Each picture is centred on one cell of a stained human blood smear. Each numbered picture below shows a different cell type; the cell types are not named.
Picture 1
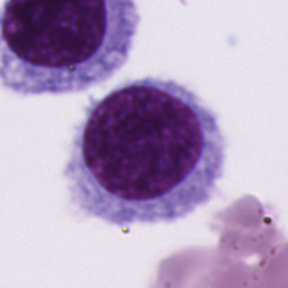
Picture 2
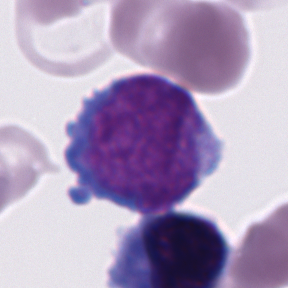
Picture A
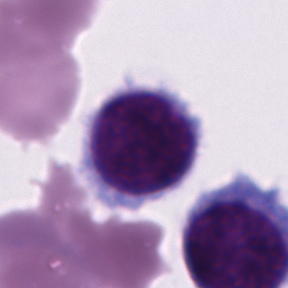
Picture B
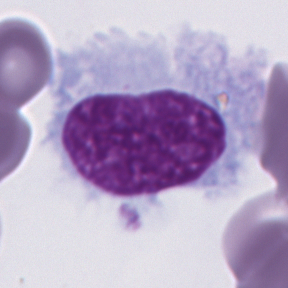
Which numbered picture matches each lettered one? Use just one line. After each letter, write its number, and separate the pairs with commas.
A 1, B 1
